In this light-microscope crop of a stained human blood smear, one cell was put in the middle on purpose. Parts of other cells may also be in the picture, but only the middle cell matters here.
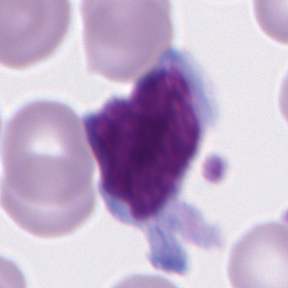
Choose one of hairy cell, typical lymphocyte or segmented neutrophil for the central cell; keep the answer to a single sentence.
The central cell, amid any neighbouring cells, is a typical lymphocyte.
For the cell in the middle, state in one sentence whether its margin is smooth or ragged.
The edge is uneven, and this unevenness takes the form of ragged stretches or projections.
